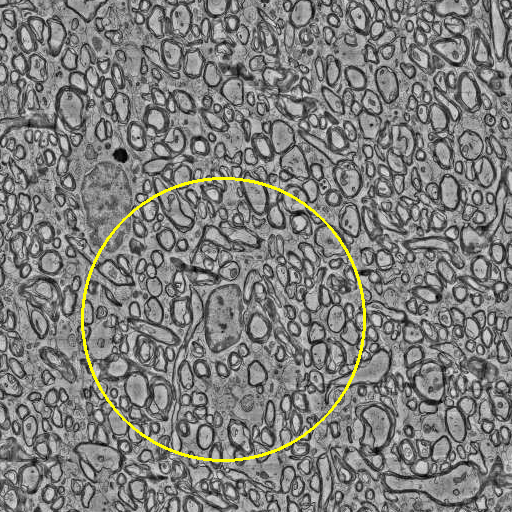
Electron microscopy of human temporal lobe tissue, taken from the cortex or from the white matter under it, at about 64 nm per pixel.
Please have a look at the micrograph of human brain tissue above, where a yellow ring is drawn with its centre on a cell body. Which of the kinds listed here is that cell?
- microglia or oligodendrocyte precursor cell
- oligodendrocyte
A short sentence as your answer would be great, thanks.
At the centre of the ring sits a microglial cell or oligodendrocyte precursor cell.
